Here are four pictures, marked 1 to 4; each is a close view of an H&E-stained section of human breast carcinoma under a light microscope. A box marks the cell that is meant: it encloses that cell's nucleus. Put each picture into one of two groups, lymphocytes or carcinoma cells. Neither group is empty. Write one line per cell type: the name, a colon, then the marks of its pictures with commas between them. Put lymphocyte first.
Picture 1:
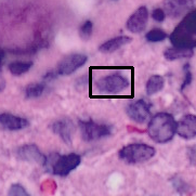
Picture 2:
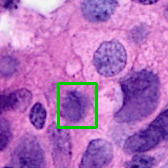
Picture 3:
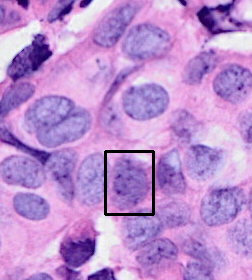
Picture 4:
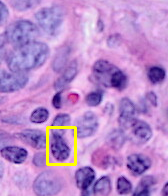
lymphocyte: 4
carcinoma cell: 1, 2, 3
